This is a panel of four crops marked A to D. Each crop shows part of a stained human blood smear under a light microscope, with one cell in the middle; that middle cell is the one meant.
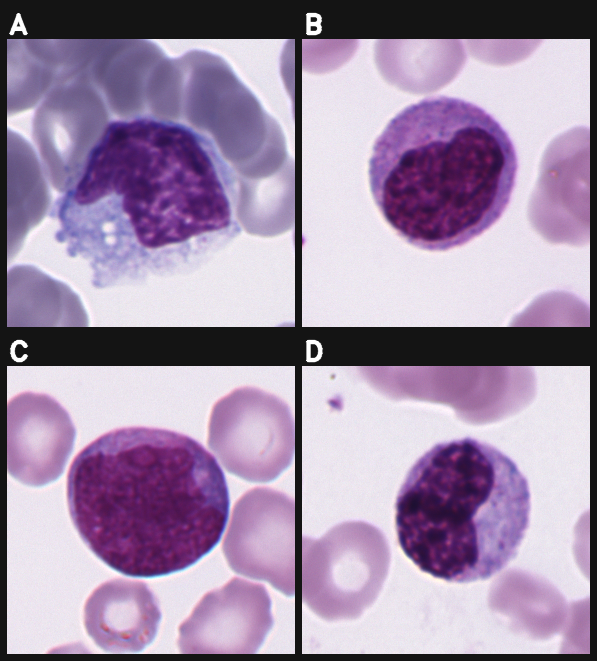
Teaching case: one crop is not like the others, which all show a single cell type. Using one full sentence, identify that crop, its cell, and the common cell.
The different one is crop C, which is a myeloblast; the rest all show monocytes.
